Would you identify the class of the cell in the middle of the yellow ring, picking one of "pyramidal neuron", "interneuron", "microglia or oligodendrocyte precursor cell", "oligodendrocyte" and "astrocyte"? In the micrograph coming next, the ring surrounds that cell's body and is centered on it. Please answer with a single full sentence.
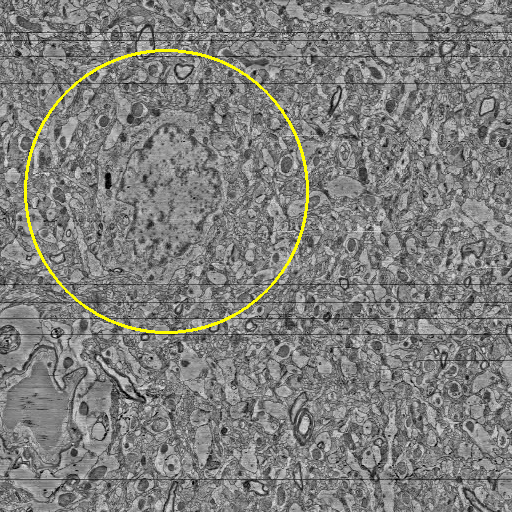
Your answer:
In the micrograph, it is an interneuron whose body lies at the ring's center.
